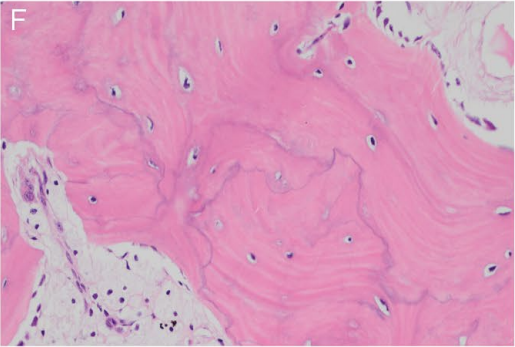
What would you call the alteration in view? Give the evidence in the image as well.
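Mosaic pattern. The pink bone is crossed by many irregular wavy dark lines. The lines join to divide the bone into irregular jigsaw-like pieces.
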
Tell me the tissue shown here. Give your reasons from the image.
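Lamellar bone. Dense pink matrix with fine parallel layering. Small flattened cells sit in lacunae within the matrix.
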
